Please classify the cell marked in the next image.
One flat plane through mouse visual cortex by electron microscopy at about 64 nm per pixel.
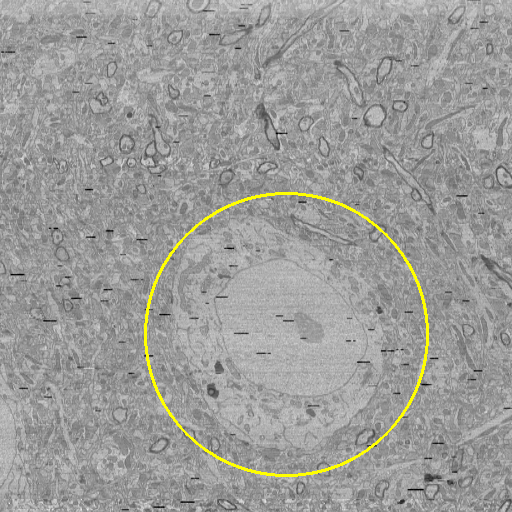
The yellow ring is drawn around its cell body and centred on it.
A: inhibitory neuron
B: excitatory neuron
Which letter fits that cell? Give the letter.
B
